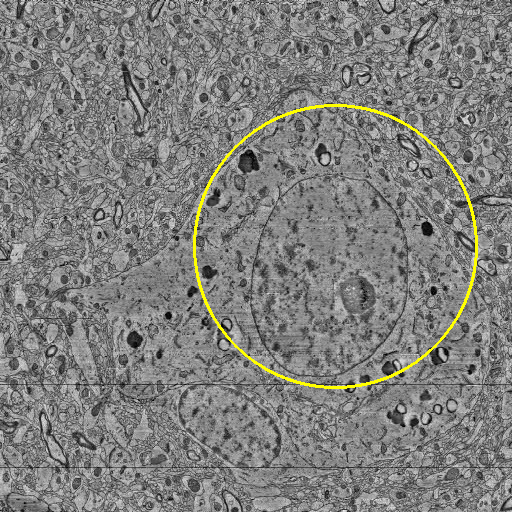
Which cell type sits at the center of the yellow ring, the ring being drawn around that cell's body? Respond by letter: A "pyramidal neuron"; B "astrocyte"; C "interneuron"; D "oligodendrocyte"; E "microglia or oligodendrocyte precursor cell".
A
